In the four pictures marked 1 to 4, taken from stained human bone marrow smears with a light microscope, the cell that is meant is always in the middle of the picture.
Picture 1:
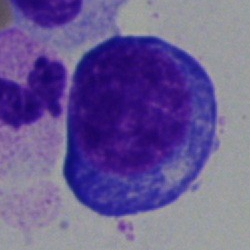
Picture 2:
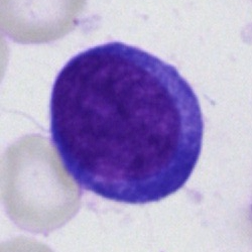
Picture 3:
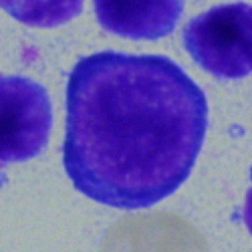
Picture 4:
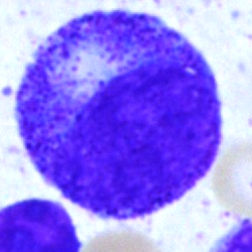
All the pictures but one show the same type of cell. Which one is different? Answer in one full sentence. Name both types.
Picture 4 is the odd one out: it shows a promyelocyte, while the others show proerythroblasts.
